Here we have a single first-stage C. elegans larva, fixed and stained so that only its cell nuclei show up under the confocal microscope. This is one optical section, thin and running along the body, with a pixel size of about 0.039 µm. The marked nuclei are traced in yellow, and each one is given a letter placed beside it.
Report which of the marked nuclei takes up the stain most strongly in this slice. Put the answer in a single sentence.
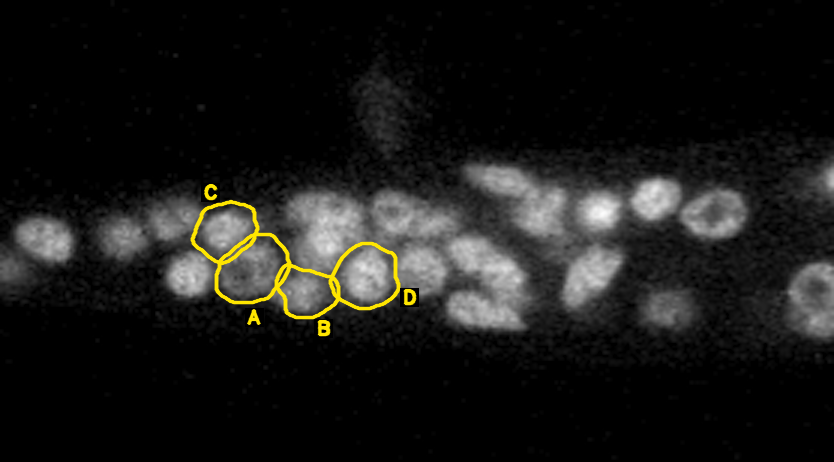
Of the marked nuclei, D takes up the stain most strongly.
